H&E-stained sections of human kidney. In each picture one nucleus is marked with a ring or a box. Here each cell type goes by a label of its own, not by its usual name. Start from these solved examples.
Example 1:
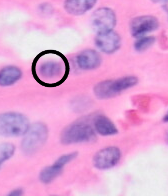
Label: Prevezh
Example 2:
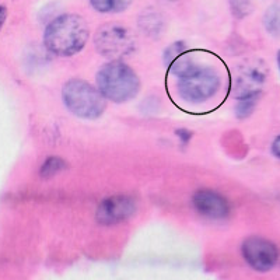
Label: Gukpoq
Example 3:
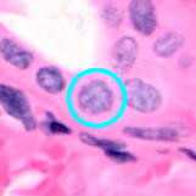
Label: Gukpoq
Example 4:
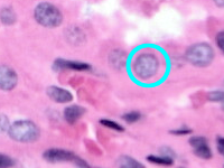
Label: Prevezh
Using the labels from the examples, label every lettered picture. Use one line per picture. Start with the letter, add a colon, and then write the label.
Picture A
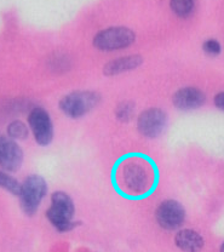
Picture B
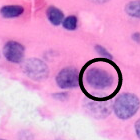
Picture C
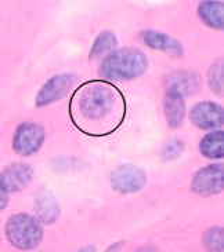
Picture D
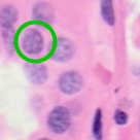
A: Prevezh
B: Gukpoq
C: Gukpoq
D: Gukpoq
